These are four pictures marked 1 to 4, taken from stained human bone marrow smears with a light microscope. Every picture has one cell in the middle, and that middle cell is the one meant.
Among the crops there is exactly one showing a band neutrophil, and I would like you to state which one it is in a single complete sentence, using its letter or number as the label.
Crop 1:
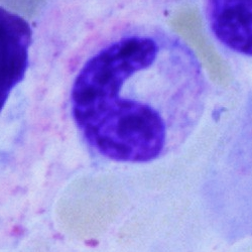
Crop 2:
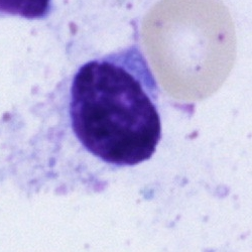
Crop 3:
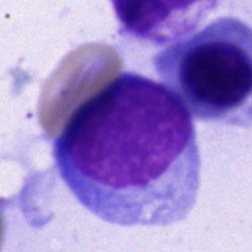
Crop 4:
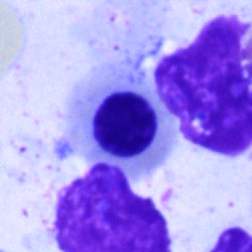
So the crop with a band neutrophil at its center is crop 1.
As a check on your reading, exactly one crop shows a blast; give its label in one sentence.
Among these crops, crop 3 holds a blast.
